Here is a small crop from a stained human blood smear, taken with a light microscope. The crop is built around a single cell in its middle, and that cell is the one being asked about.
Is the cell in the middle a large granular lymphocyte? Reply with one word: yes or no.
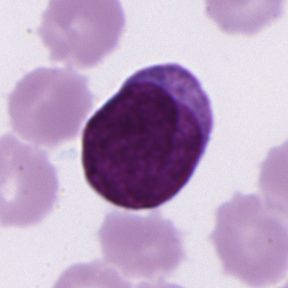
no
